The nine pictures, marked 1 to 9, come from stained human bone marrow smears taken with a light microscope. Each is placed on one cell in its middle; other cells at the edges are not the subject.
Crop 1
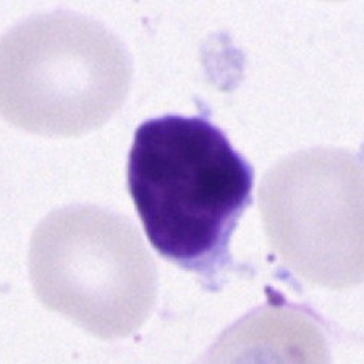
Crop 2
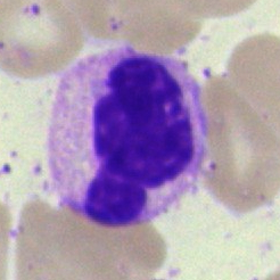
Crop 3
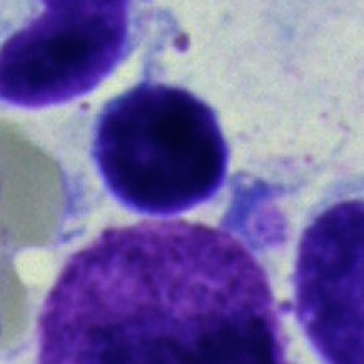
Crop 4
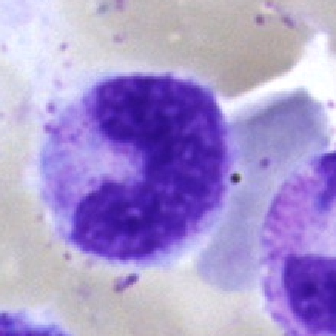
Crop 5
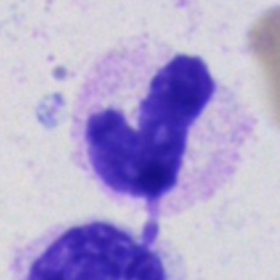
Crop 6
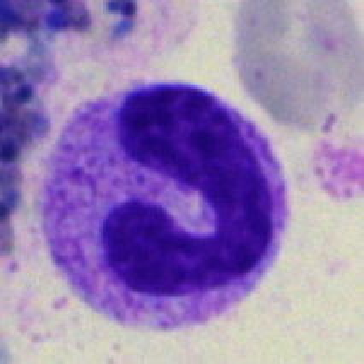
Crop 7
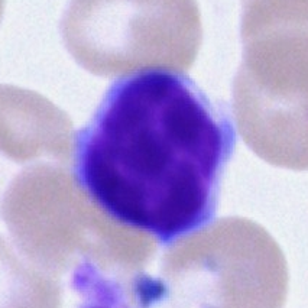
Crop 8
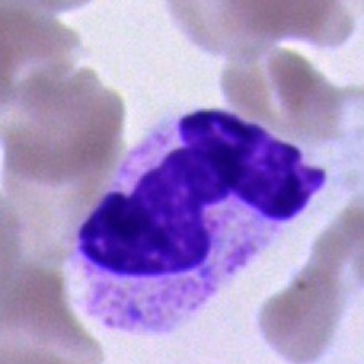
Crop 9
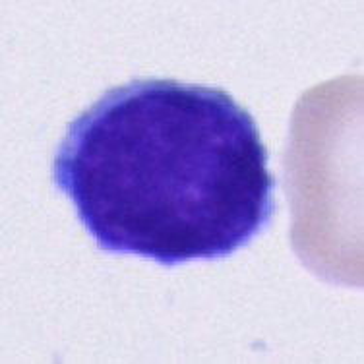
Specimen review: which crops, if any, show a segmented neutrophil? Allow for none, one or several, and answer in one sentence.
The cells being asked about in crops 2, 5 and 8 are segmented neutrophils.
